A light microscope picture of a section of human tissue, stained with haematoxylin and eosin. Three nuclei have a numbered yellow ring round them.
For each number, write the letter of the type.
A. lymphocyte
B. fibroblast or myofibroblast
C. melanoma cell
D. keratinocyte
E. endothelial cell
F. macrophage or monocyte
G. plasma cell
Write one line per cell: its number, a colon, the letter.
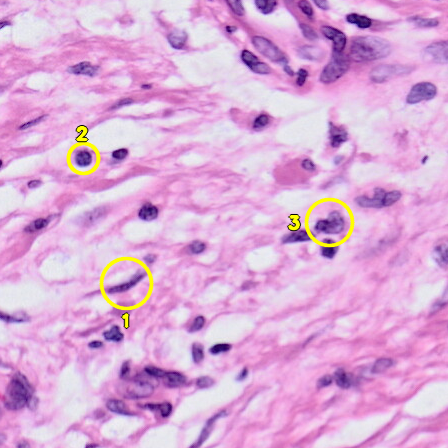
1: B
2: A
3: F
